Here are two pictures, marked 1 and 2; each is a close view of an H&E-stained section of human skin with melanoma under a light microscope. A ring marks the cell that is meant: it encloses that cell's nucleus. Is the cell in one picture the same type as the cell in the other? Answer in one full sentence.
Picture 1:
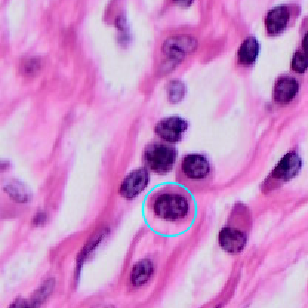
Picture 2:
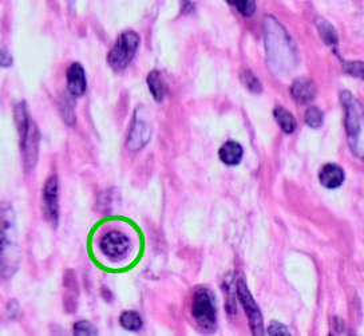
Yes, they are the same type: both are plasma cells.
